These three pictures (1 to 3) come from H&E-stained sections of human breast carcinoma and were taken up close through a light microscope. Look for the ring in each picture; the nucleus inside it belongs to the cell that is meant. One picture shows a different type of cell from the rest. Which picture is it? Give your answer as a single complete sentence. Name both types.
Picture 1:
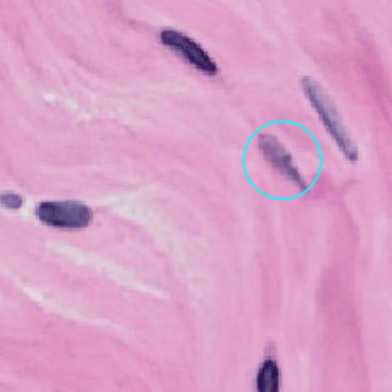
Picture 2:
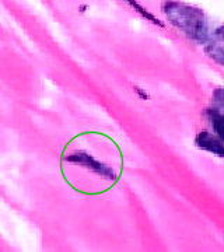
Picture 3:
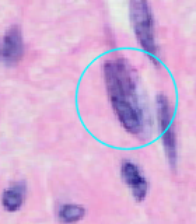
Unlike the rest, which show fibroblasts, picture 3 shows an endothelial cell.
